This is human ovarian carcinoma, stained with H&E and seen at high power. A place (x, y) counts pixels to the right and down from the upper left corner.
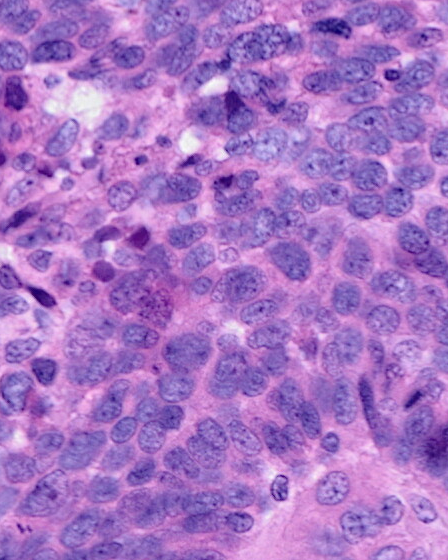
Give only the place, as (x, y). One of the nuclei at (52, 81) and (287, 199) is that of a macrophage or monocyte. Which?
(52, 81)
